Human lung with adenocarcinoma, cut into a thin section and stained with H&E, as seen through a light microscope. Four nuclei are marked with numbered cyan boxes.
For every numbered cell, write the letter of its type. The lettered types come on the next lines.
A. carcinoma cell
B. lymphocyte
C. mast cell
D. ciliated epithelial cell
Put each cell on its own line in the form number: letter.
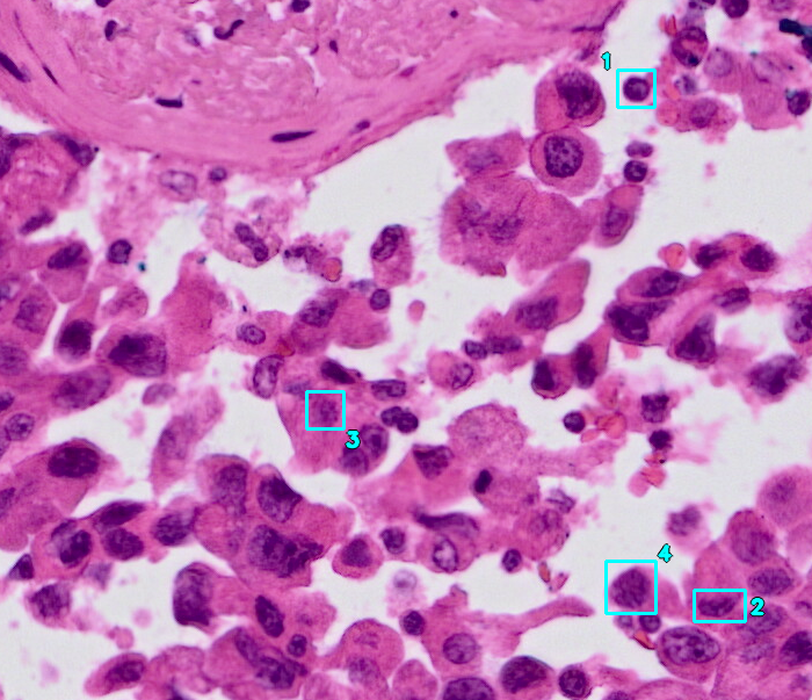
1: B
2: A
3: A
4: A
